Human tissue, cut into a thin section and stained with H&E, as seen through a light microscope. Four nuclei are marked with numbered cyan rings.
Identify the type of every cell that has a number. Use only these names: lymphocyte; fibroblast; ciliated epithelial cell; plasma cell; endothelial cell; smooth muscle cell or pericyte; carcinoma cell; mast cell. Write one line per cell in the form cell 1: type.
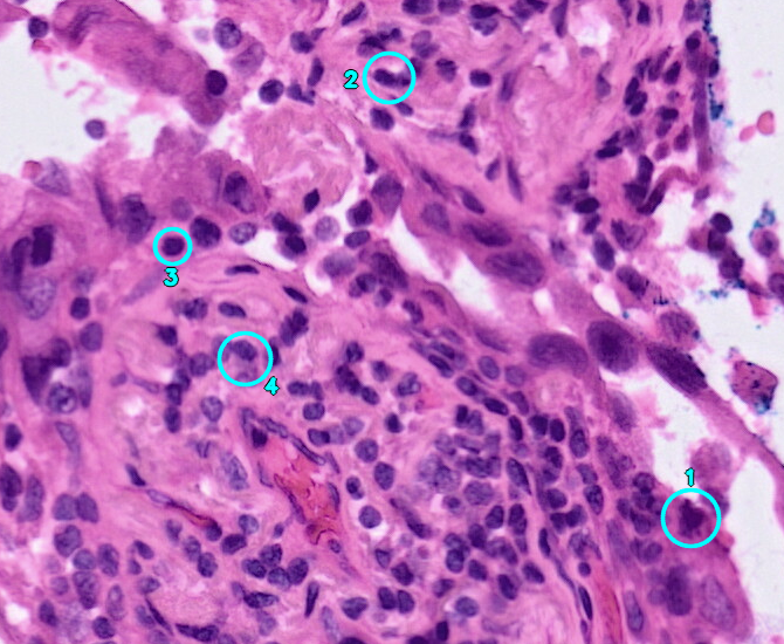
cell 1: carcinoma cell
cell 2: lymphocyte
cell 3: lymphocyte
cell 4: lymphocyte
